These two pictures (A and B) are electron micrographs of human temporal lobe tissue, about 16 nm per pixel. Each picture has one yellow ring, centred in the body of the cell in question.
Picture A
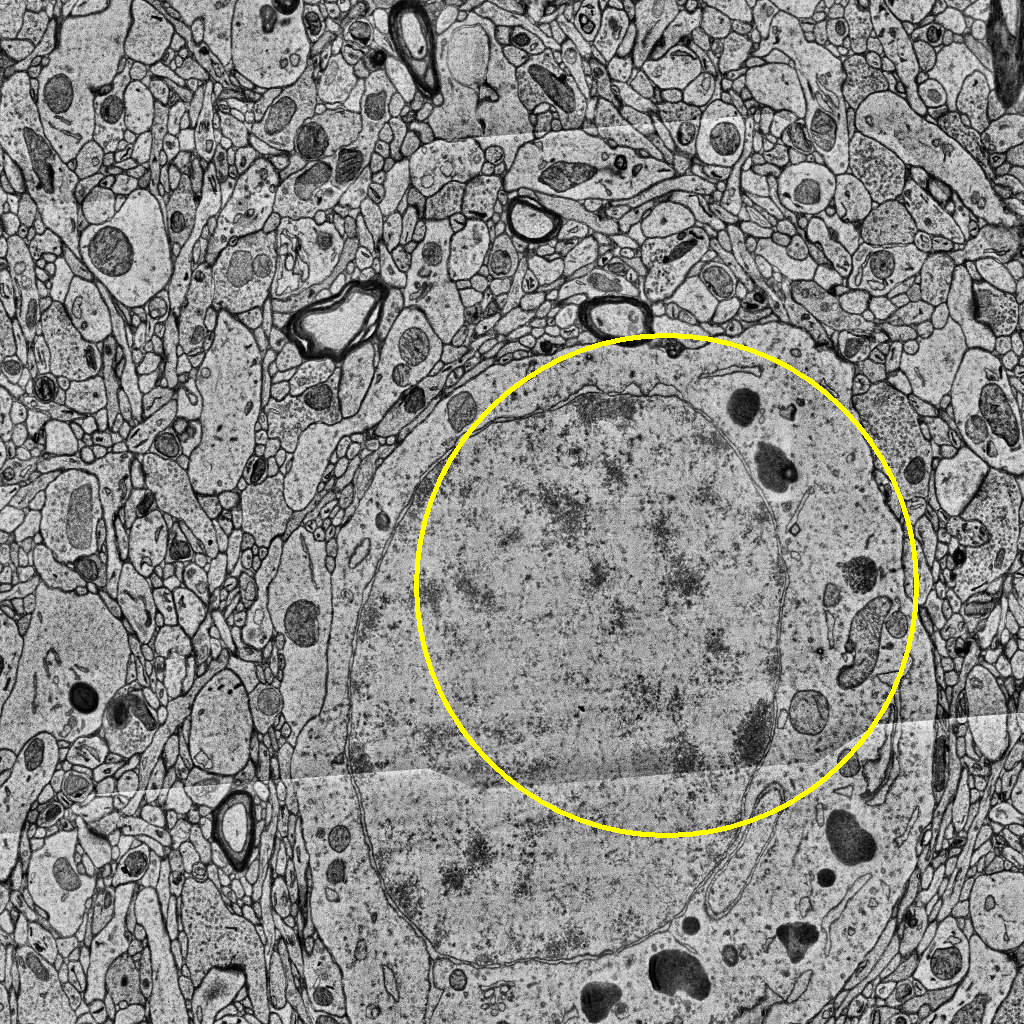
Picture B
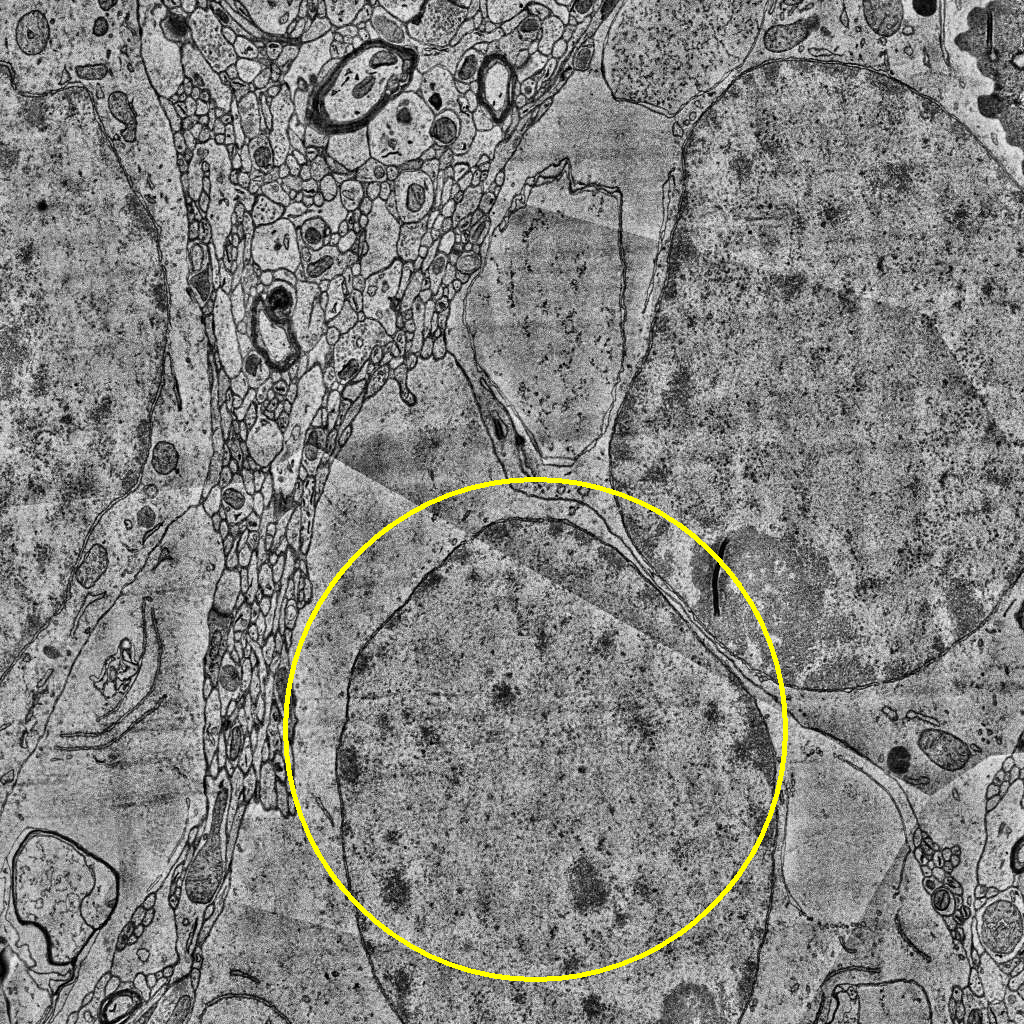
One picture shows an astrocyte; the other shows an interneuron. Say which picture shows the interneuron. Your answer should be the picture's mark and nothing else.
A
